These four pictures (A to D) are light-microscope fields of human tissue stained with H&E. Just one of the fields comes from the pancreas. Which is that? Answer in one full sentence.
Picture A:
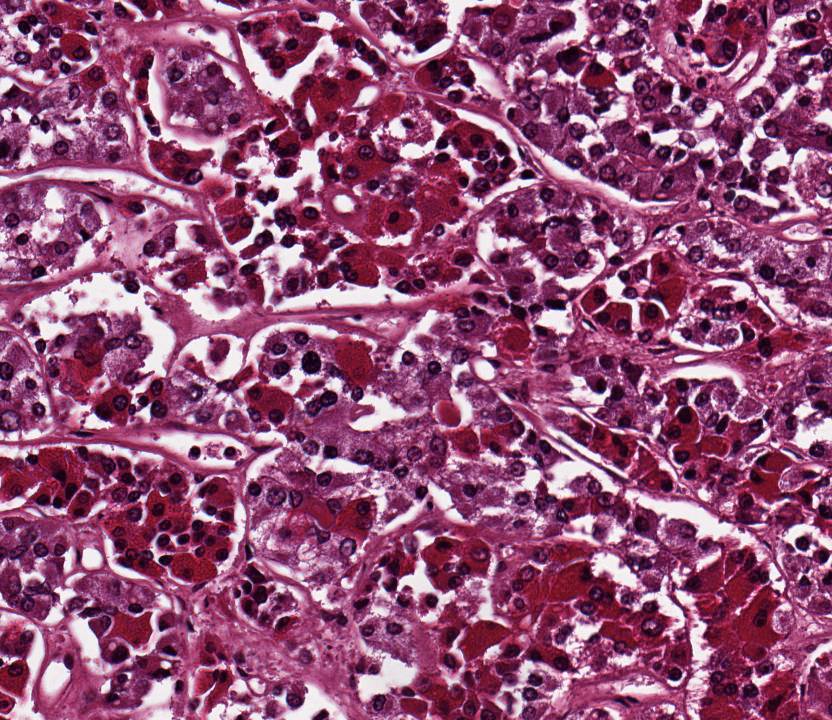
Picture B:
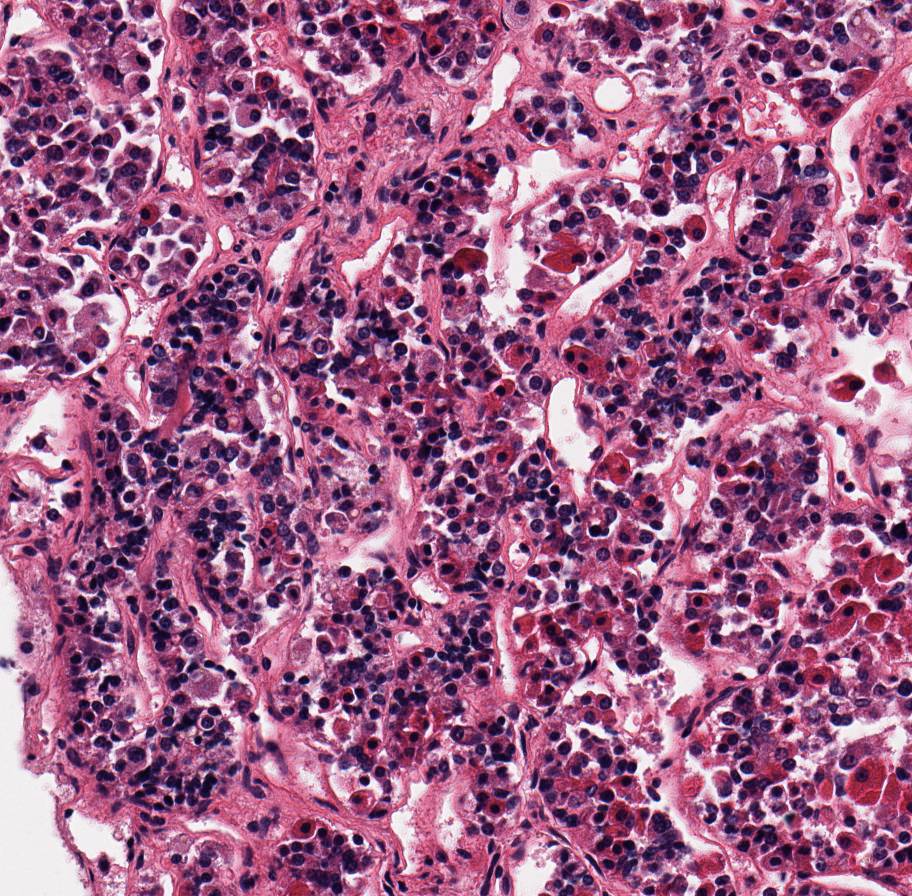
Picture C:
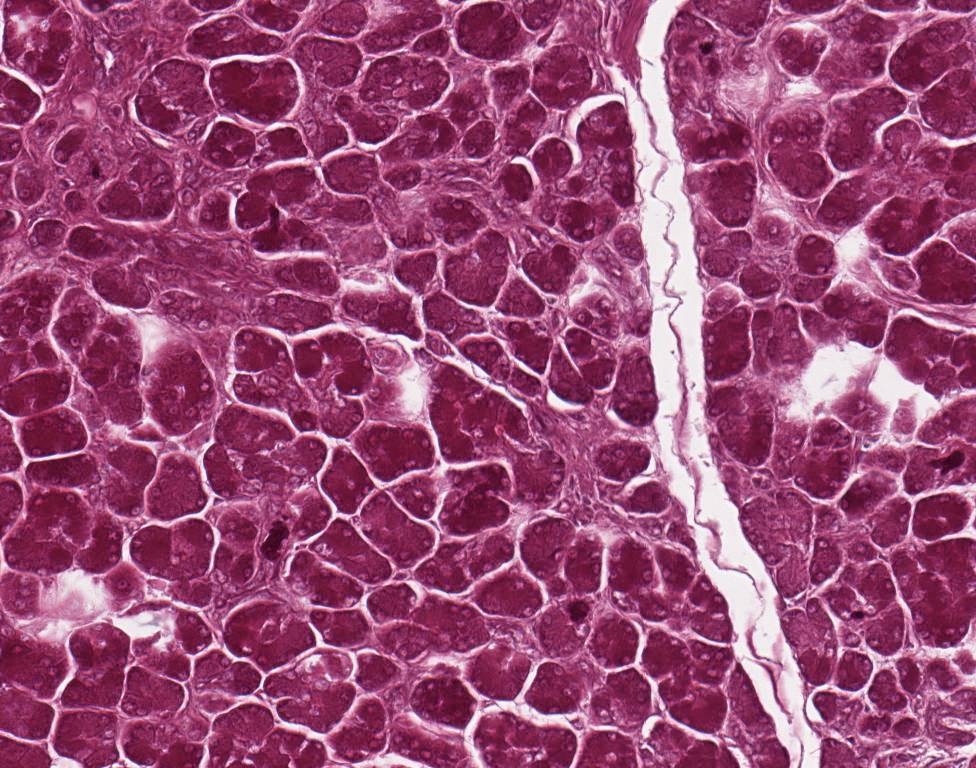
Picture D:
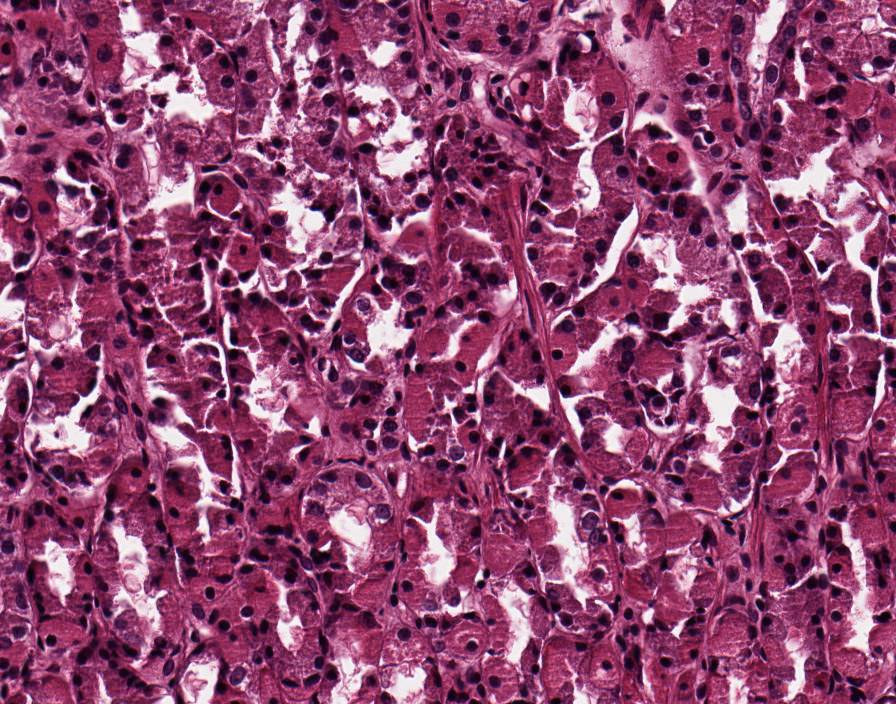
It is picture C that comes from the pancreas.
